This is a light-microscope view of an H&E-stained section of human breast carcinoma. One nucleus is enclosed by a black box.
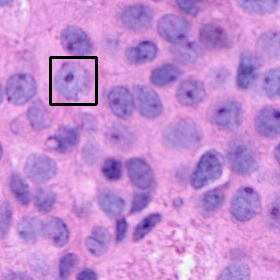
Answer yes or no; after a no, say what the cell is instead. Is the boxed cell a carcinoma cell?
Yes.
